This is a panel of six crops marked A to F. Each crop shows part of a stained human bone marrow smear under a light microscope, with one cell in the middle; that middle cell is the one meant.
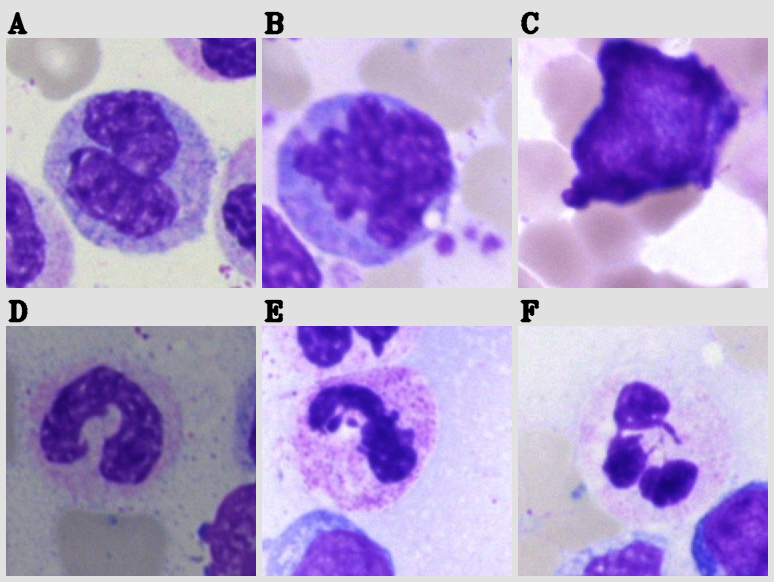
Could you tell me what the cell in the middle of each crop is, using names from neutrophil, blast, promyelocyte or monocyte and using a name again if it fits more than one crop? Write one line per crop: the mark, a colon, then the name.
A: monocyte
B: monocyte
C: blast
D: neutrophil
E: neutrophil
F: neutrophil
